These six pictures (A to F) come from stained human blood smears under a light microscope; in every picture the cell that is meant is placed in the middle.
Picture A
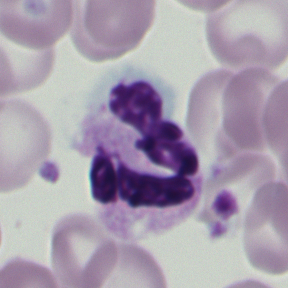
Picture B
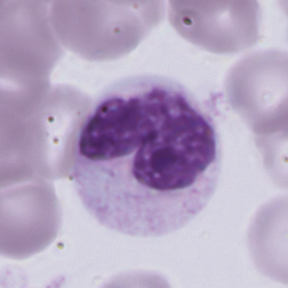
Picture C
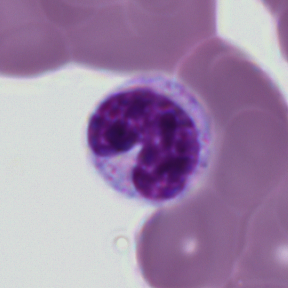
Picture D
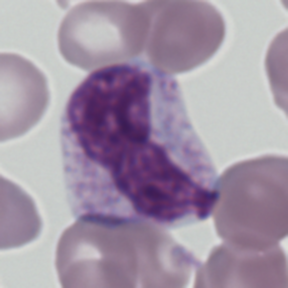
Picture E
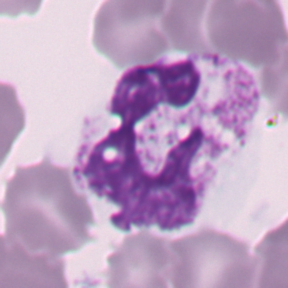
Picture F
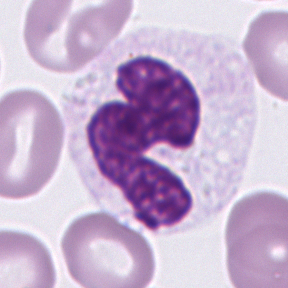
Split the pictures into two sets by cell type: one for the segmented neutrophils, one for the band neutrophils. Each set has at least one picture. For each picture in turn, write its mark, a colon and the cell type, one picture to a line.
A: segmented neutrophil
B: band neutrophil
C: band neutrophil
D: band neutrophil
E: segmented neutrophil
F: segmented neutrophil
